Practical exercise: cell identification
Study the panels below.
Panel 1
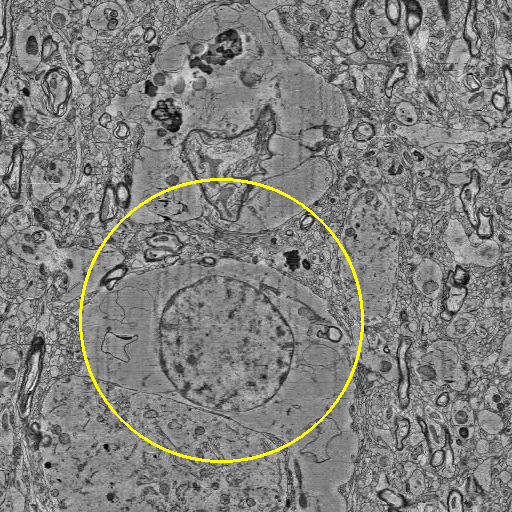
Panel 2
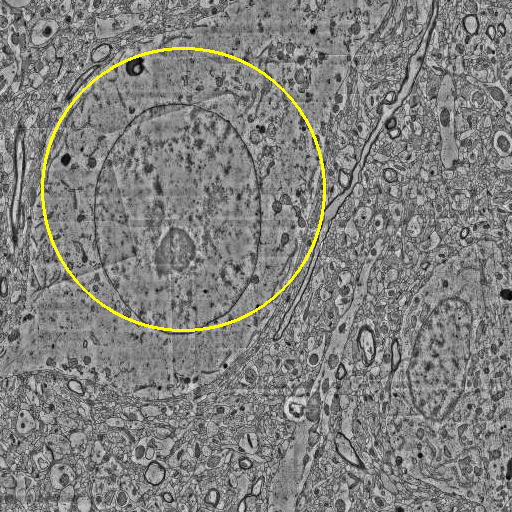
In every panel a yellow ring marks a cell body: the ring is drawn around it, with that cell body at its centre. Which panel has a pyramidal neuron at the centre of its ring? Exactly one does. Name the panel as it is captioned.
Panel 2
